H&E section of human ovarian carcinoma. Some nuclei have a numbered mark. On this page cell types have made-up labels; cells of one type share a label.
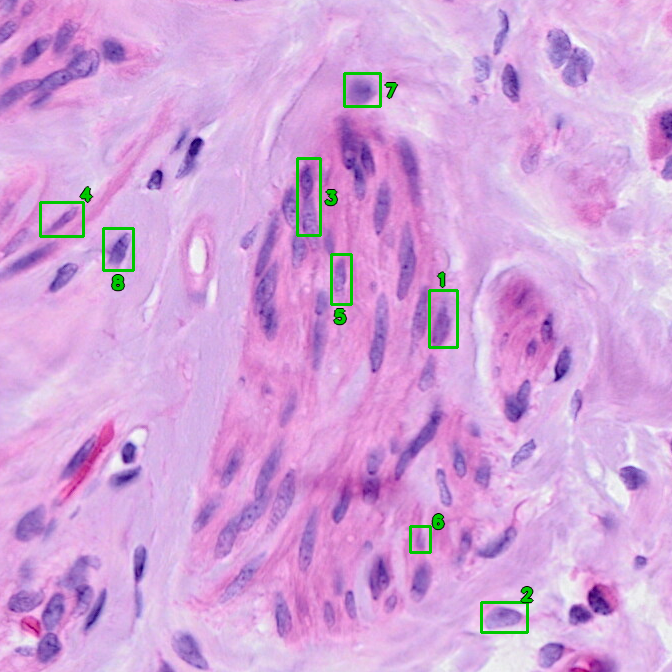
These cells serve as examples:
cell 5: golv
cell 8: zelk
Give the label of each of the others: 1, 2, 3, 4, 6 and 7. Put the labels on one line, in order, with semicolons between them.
golv; zelk; golv; golv; golv; zelk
